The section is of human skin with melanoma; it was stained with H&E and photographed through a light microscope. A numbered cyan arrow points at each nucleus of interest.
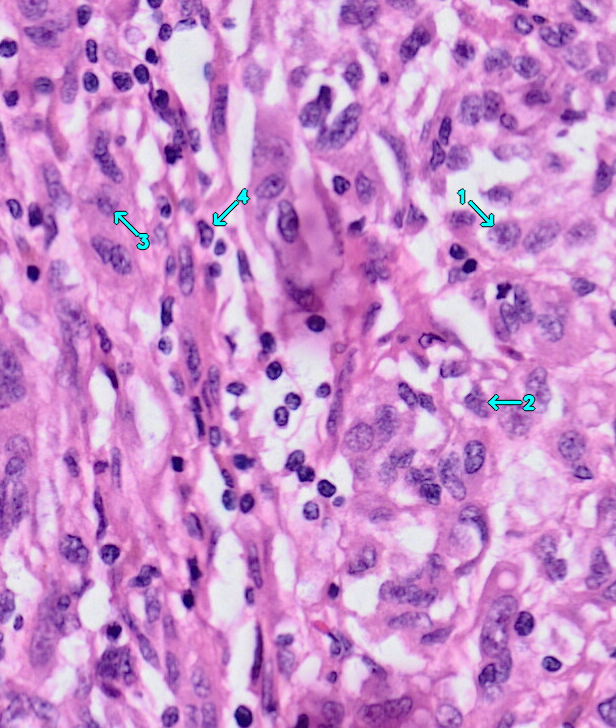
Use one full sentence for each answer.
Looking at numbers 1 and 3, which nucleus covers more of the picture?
Number 1 is larger; its area is about 2.5 times that of number 3.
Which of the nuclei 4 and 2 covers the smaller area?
Nucleus 4 covers less area, with nucleus 2 about 1.5 times as large.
